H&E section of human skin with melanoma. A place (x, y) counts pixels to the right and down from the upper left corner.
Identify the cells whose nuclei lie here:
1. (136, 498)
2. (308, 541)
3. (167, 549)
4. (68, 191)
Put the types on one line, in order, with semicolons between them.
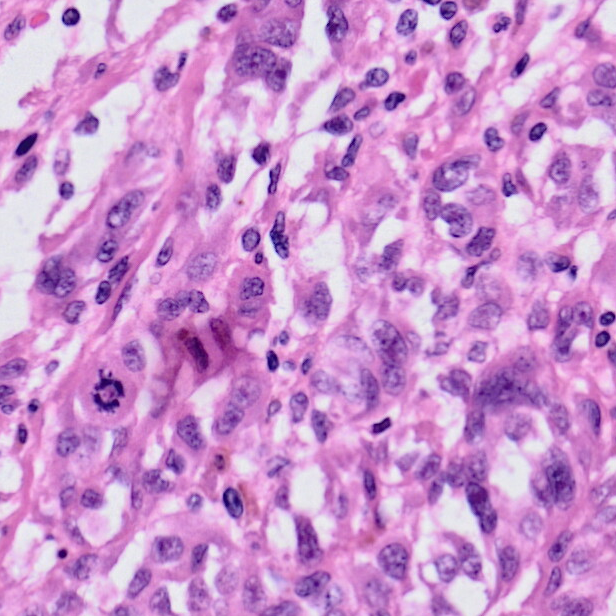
melanoma cell; melanoma cell; melanoma cell; lymphocyte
